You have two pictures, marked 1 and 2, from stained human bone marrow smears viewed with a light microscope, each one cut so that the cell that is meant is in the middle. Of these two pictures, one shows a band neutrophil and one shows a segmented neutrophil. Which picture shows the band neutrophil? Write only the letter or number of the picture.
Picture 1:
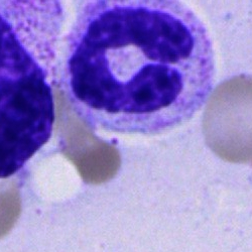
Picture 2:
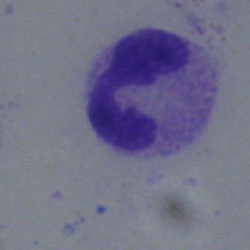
1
